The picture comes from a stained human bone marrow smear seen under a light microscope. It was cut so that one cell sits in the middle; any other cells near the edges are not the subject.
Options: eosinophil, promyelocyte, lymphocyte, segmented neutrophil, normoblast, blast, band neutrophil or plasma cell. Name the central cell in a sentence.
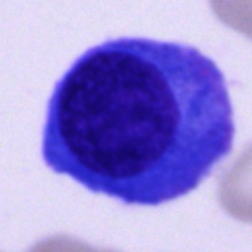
In short, the cell at the center is a plasma cell.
